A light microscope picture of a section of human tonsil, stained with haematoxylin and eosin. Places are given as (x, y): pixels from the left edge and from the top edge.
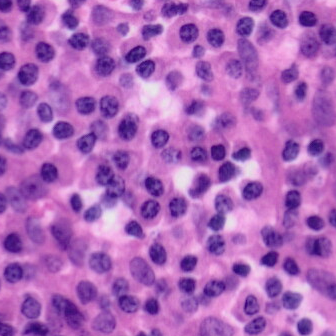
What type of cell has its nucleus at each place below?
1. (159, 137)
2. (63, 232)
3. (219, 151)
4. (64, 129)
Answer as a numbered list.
1. plasma cell
2. squamous epithelial cell
3. plasma cell
4. plasma cell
